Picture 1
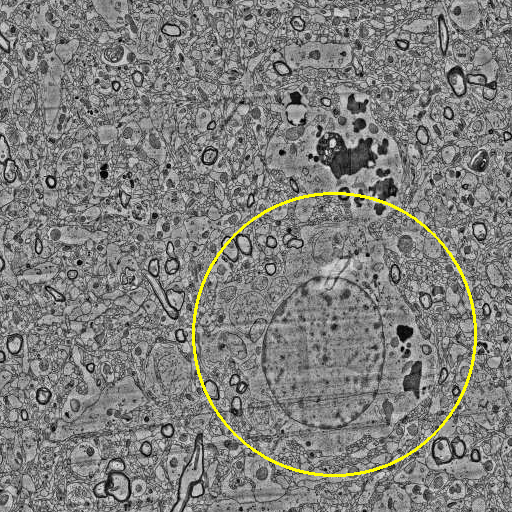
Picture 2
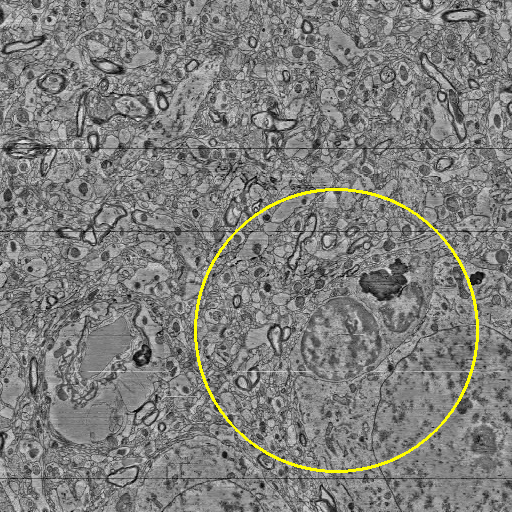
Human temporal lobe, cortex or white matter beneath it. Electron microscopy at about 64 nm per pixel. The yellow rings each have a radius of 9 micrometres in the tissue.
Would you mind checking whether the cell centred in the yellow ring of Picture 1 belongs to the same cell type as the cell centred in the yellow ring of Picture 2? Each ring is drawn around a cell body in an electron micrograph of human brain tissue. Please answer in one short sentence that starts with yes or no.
No, the two cells are of two types.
